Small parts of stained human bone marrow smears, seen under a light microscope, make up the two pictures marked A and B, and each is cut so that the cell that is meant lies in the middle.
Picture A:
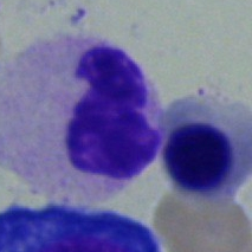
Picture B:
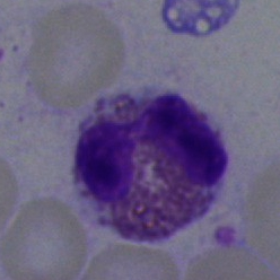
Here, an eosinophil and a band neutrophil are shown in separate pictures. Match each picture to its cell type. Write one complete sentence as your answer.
It is picture A that shows a band neutrophil, and picture B that shows an eosinophil.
